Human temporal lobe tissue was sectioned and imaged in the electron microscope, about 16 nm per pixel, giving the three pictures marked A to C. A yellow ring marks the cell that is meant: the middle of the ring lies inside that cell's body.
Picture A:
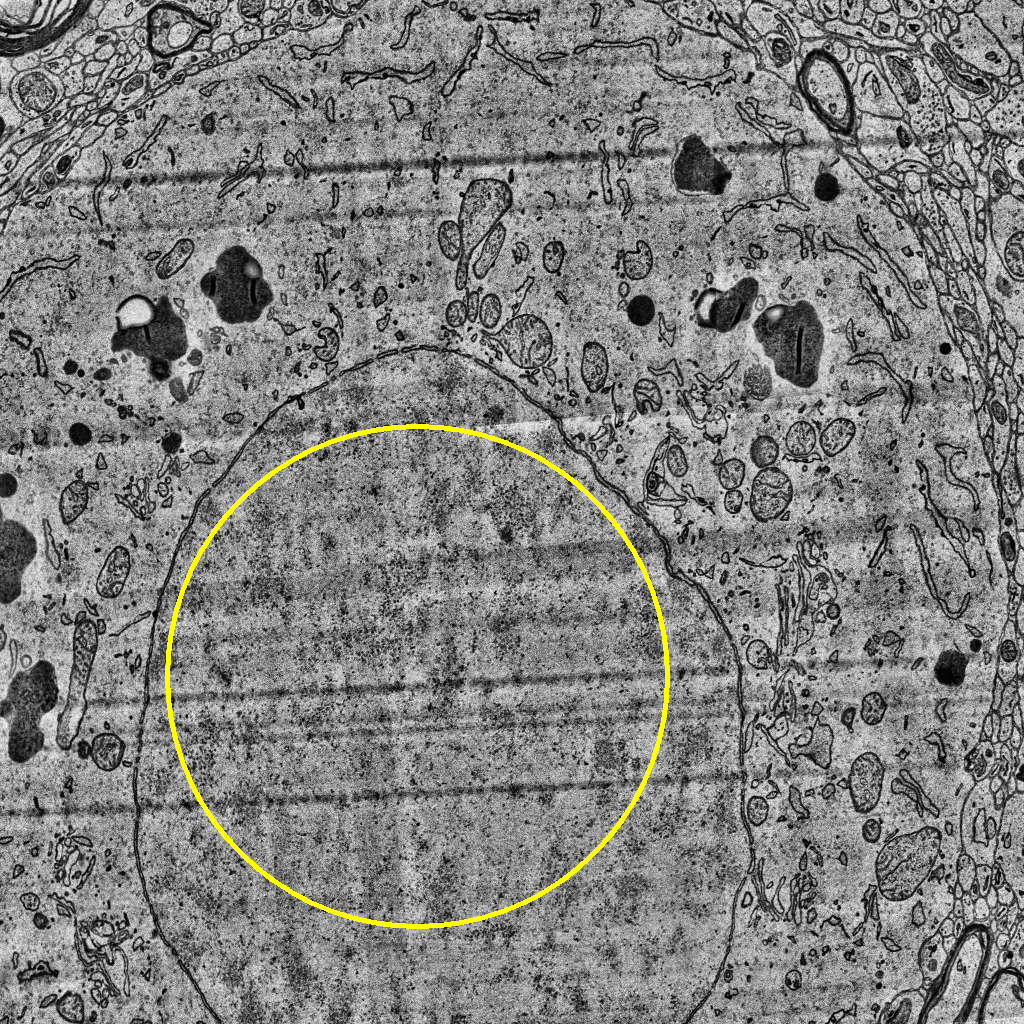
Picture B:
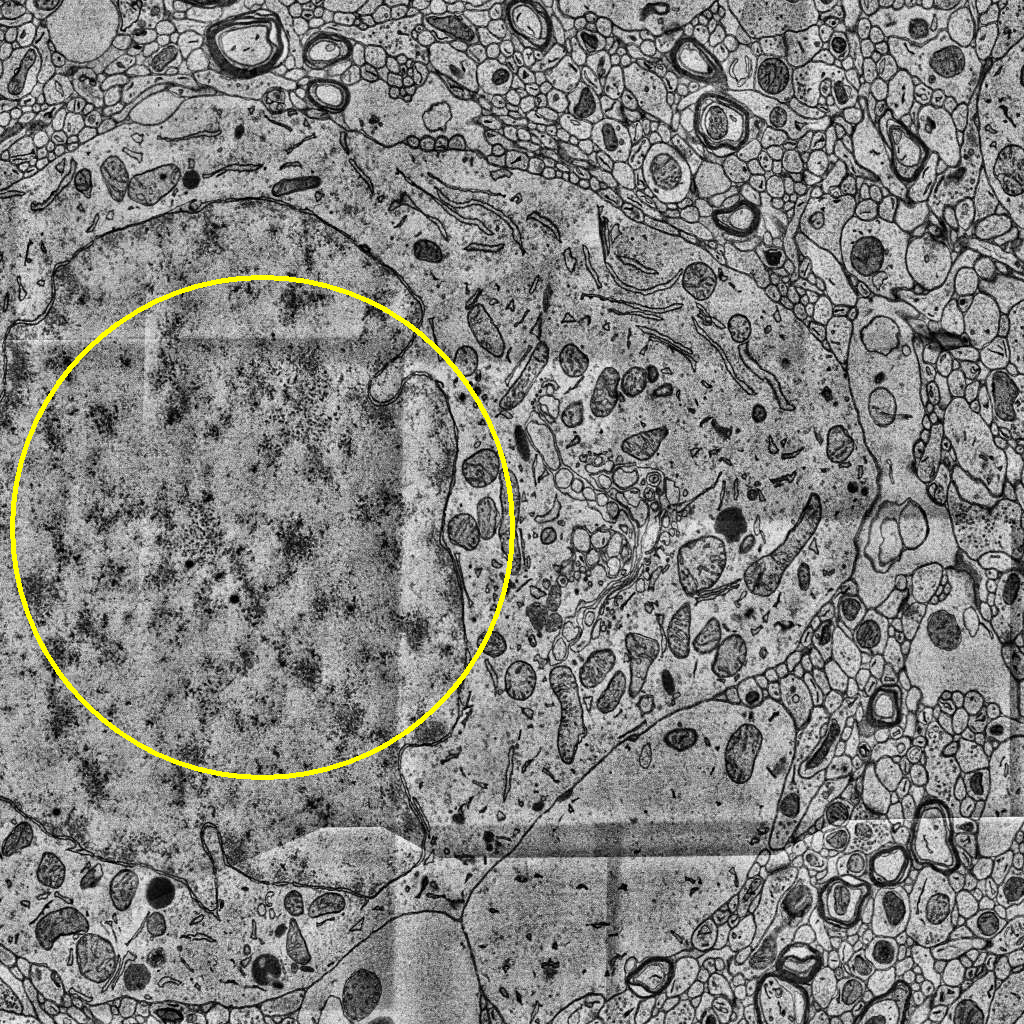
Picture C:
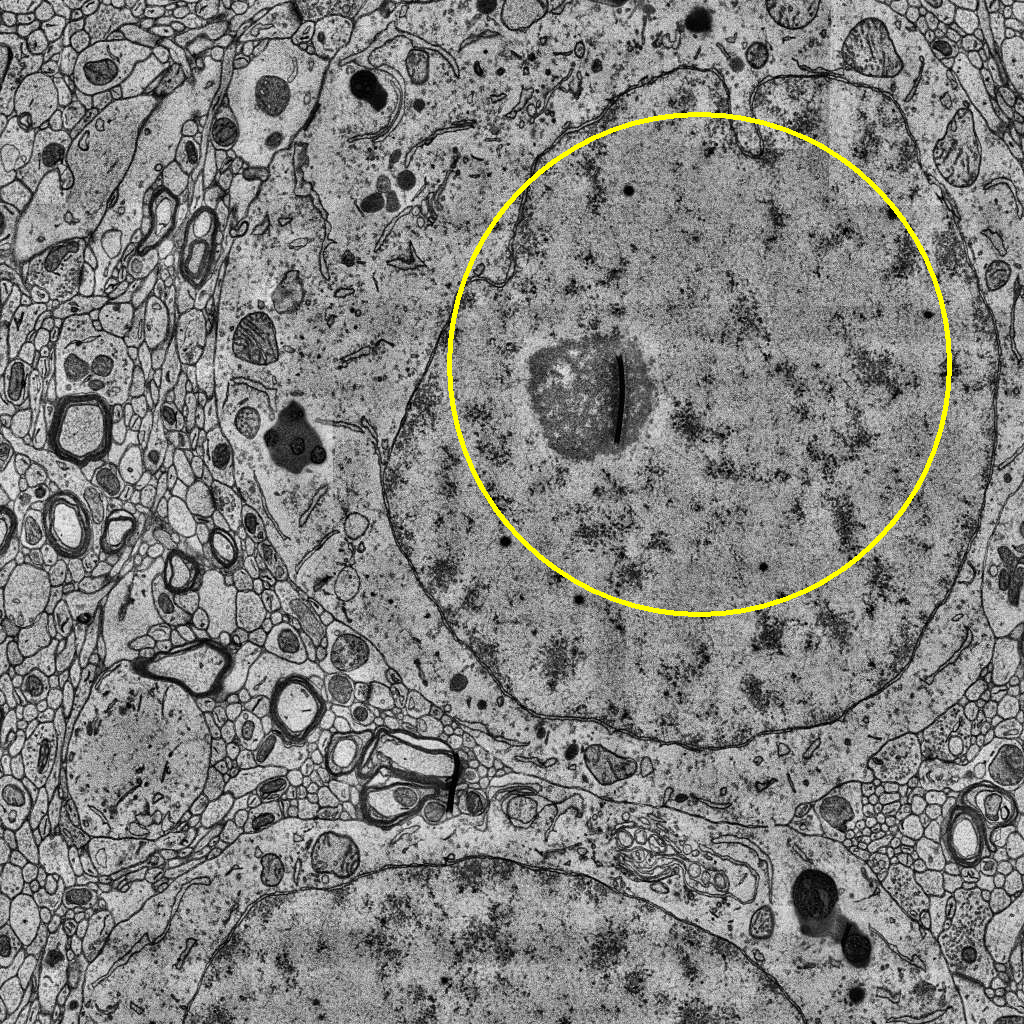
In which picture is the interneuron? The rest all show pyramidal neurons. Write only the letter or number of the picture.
B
